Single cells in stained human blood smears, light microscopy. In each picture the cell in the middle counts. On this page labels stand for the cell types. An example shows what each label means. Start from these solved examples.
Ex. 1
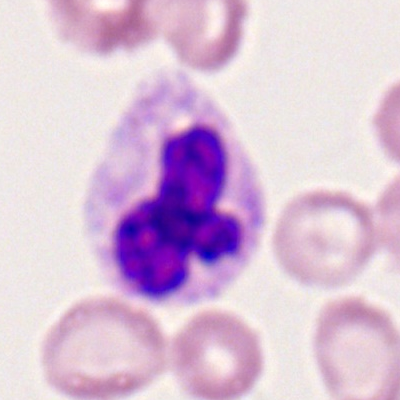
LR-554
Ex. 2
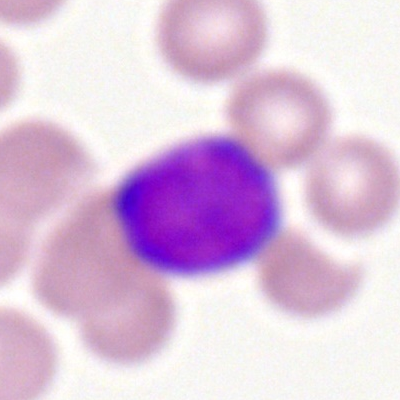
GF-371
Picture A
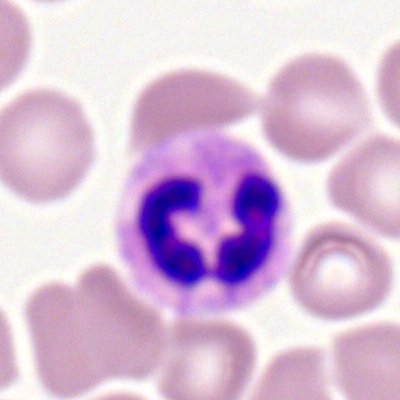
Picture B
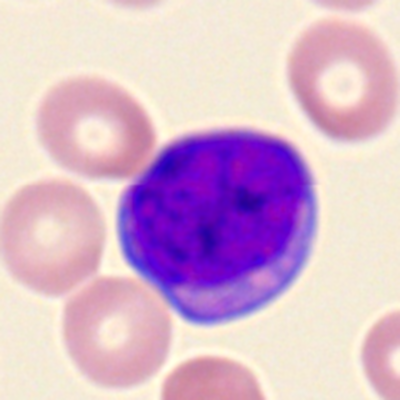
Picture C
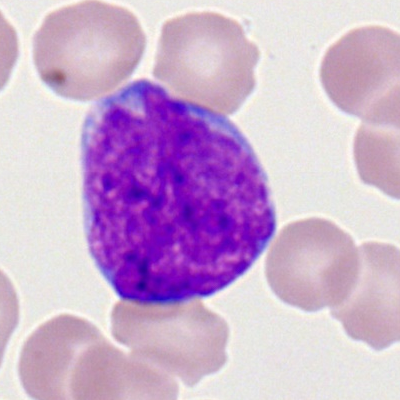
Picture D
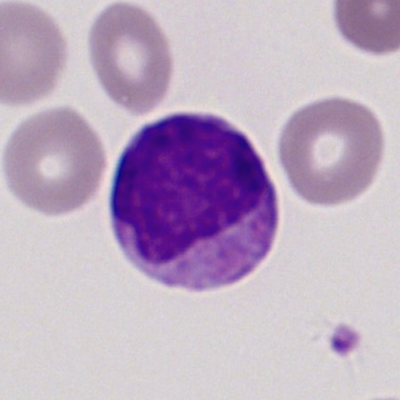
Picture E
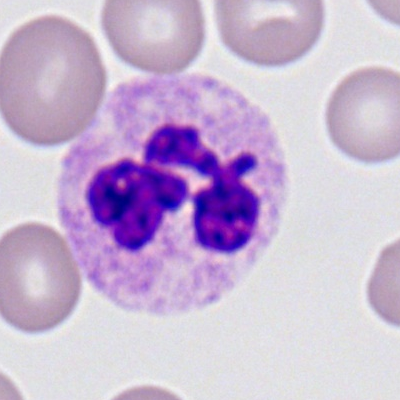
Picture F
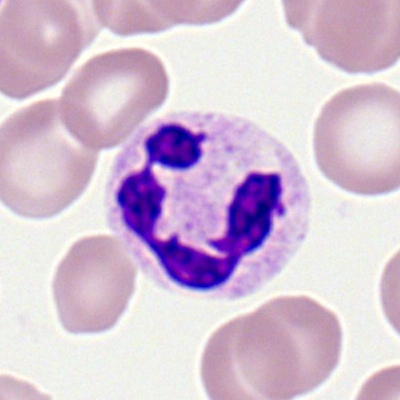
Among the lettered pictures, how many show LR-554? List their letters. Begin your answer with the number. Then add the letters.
3, namely A, E, F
